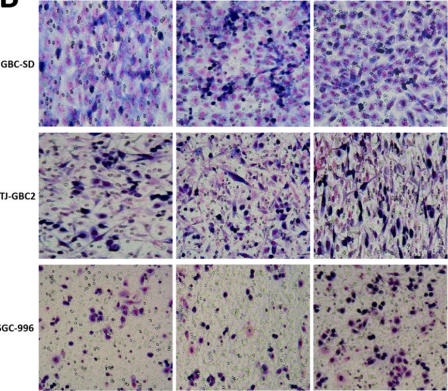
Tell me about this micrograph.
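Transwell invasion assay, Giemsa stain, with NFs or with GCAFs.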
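In the upper two rows the cells are crowded, many polygonal or drawn out into spindle shapes, often aligned in parallel. In the lower row the cells are sparser and rounder, and the membrane's pores show between them as small clear circles. The density of stained cells differs visibly from image to image.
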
